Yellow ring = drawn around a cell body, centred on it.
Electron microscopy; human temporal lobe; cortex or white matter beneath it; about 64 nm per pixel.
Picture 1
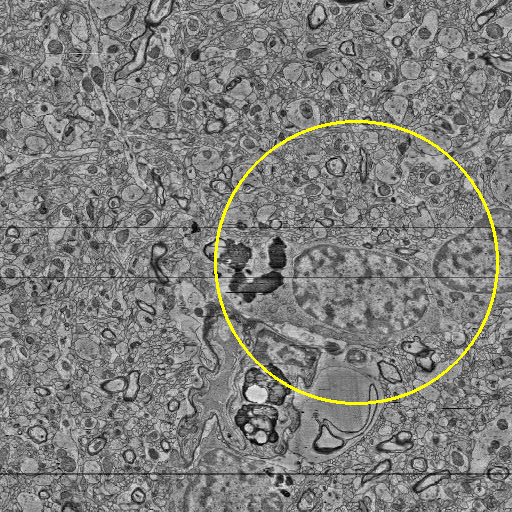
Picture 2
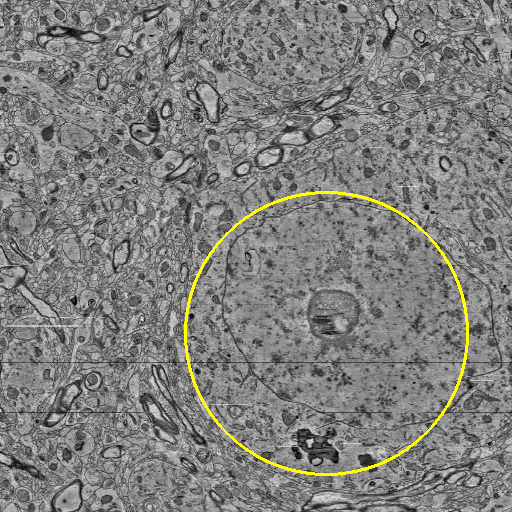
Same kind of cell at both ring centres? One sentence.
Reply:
No, they are two kinds of cell.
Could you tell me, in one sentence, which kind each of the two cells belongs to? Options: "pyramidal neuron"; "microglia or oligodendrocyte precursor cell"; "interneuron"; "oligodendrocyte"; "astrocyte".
At the centre of the first ring sits an oligodendrocyte, and at the centre of the second sits a pyramidal neuron.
